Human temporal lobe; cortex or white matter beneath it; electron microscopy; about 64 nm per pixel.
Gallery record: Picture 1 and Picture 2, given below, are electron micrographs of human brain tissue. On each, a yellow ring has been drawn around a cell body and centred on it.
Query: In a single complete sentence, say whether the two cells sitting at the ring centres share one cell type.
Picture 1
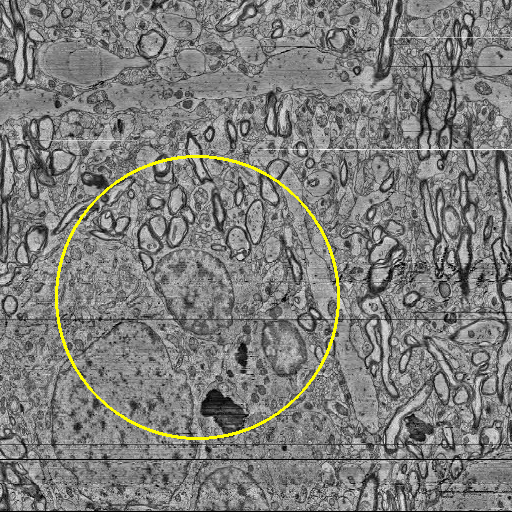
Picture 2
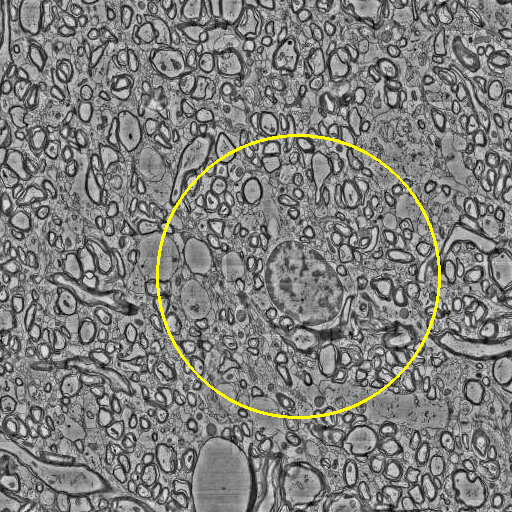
No, in the two pictures the cells at the rings' centres are of two separate types.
